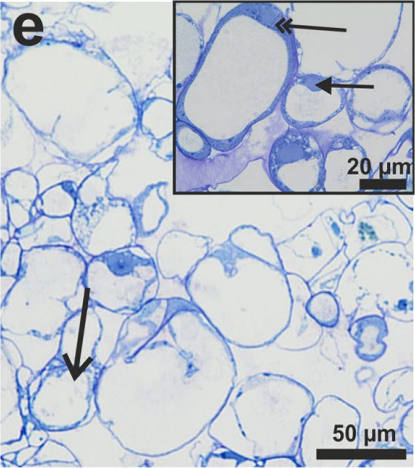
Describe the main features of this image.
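Loosely attached, highly vacuolated callus cells, rounded and of varied size, with gaps between them. Most cells are pale with only a thin blue rim of cytoplasm along the wall. Some cells appear collapsed or irregular.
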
